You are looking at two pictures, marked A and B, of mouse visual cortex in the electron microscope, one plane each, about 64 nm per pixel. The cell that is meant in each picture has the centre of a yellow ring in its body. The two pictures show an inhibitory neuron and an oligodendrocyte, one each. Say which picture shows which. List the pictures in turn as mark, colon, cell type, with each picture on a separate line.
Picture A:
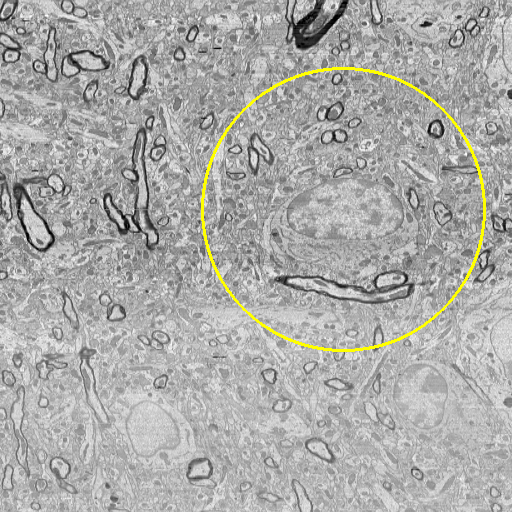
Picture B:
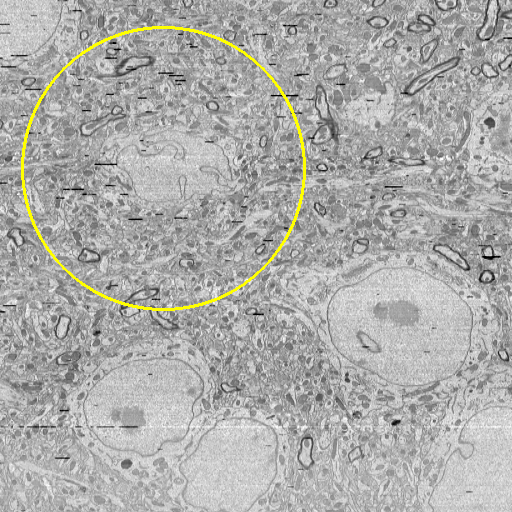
A: oligodendrocyte
B: inhibitory neuron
